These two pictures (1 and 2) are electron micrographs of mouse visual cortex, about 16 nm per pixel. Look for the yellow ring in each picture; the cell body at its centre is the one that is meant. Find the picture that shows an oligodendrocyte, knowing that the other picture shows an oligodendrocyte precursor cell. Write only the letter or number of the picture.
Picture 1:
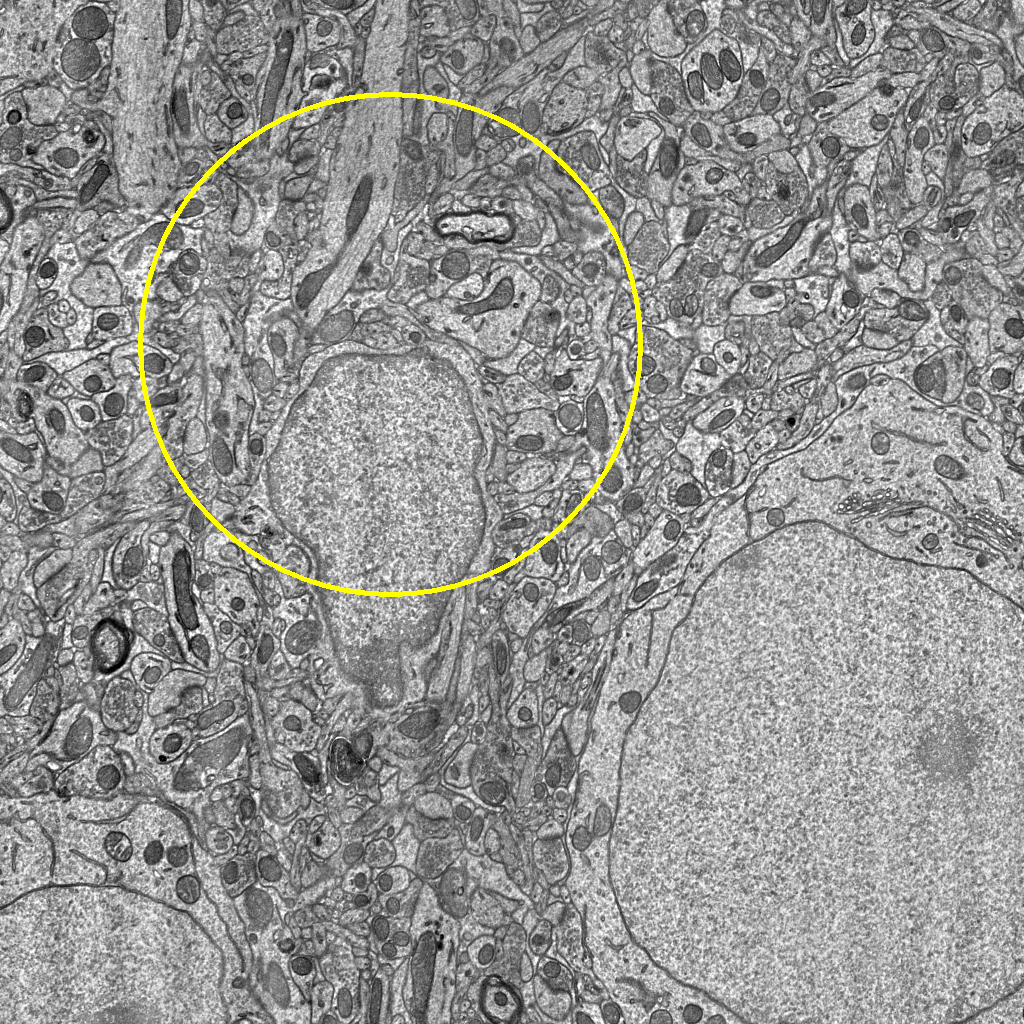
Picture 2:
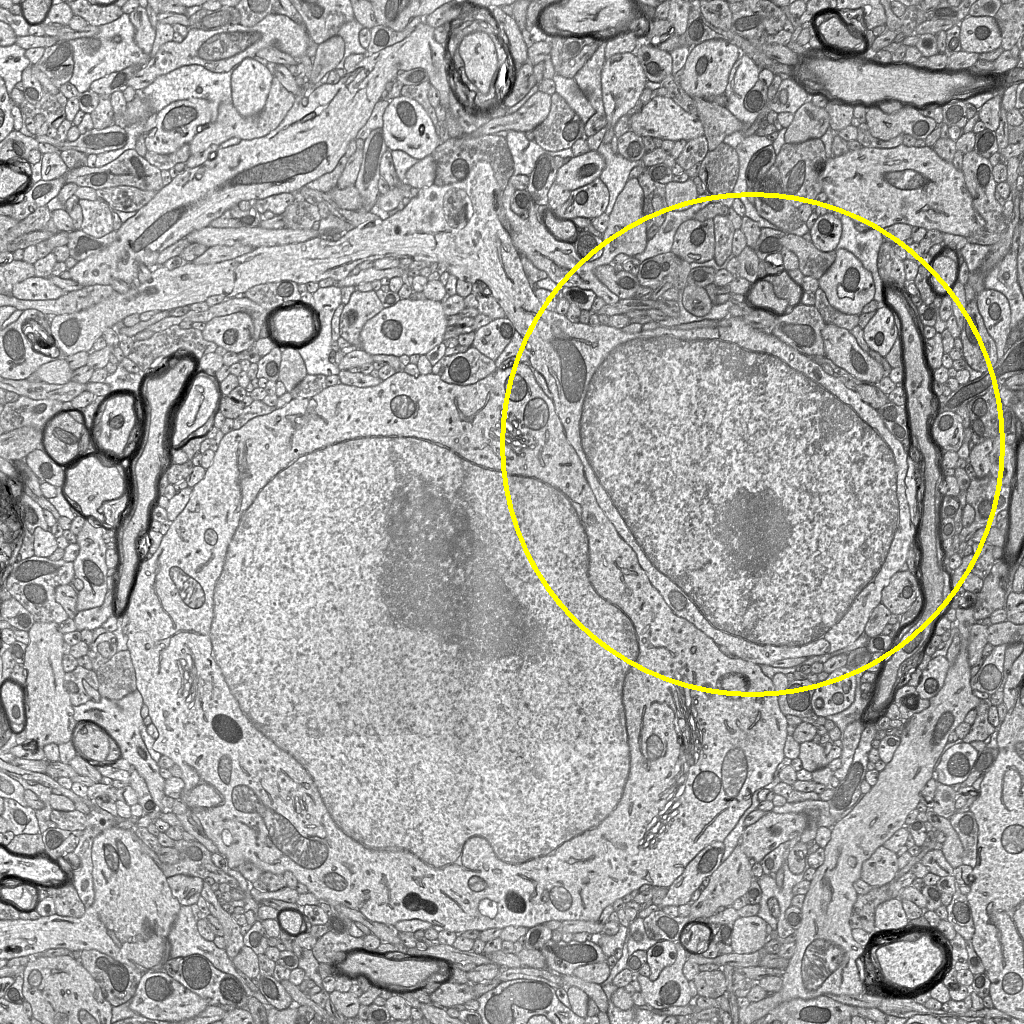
2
